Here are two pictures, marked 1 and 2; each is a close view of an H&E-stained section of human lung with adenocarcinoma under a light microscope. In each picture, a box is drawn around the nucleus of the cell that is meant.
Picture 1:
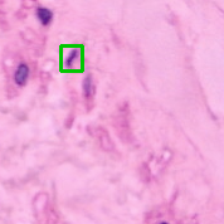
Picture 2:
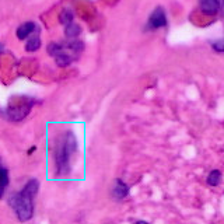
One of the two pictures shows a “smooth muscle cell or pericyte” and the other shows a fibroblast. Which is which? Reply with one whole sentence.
The cell in picture 1 is a “smooth muscle cell or pericyte”, and the one in picture 2 is a fibroblast.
